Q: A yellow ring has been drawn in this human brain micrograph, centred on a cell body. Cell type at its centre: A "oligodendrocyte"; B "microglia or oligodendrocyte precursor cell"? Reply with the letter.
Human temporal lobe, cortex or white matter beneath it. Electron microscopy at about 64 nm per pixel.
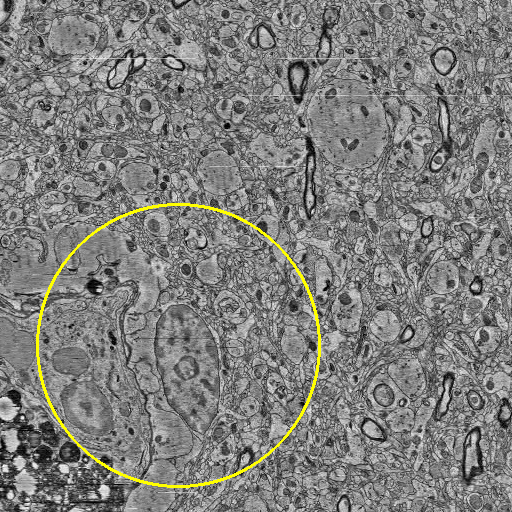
B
